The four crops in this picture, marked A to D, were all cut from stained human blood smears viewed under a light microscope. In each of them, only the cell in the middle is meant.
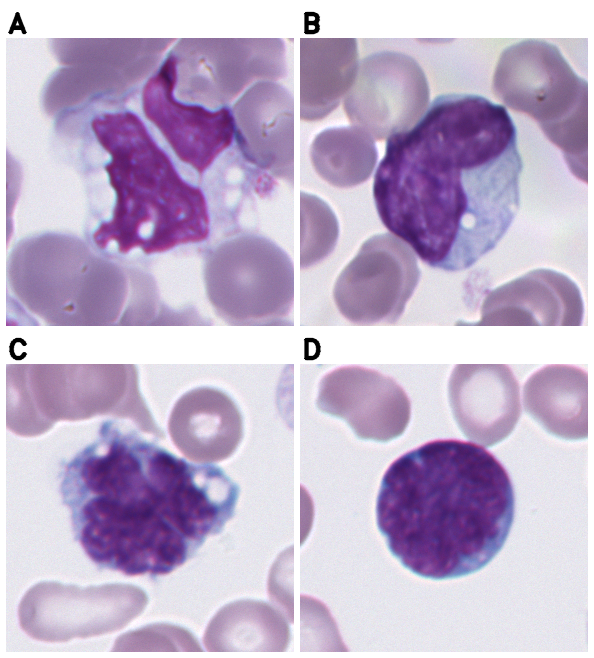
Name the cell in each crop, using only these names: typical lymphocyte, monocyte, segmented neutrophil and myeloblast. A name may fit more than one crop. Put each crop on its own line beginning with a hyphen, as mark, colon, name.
- A: monocyte
- B: myeloblast
- C: monocyte
- D: myeloblast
